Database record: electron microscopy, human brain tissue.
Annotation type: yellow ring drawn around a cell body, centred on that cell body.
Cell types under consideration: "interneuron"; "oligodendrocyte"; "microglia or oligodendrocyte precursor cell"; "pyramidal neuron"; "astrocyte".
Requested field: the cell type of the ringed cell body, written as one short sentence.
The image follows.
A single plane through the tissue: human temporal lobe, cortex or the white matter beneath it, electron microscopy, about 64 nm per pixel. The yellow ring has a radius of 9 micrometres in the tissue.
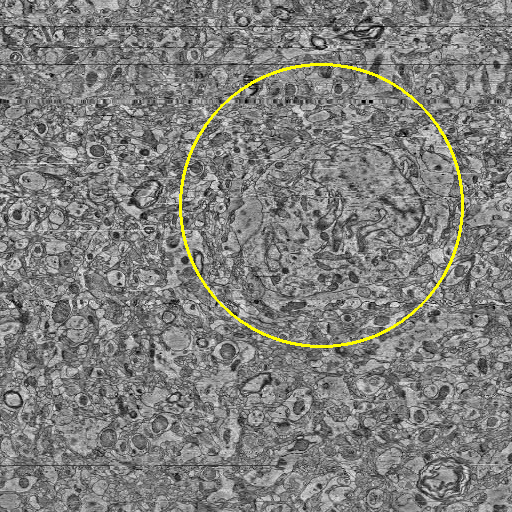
The ringed cell body represents an interneuron.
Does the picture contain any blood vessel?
No, a blood vessel is absent from this picture.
